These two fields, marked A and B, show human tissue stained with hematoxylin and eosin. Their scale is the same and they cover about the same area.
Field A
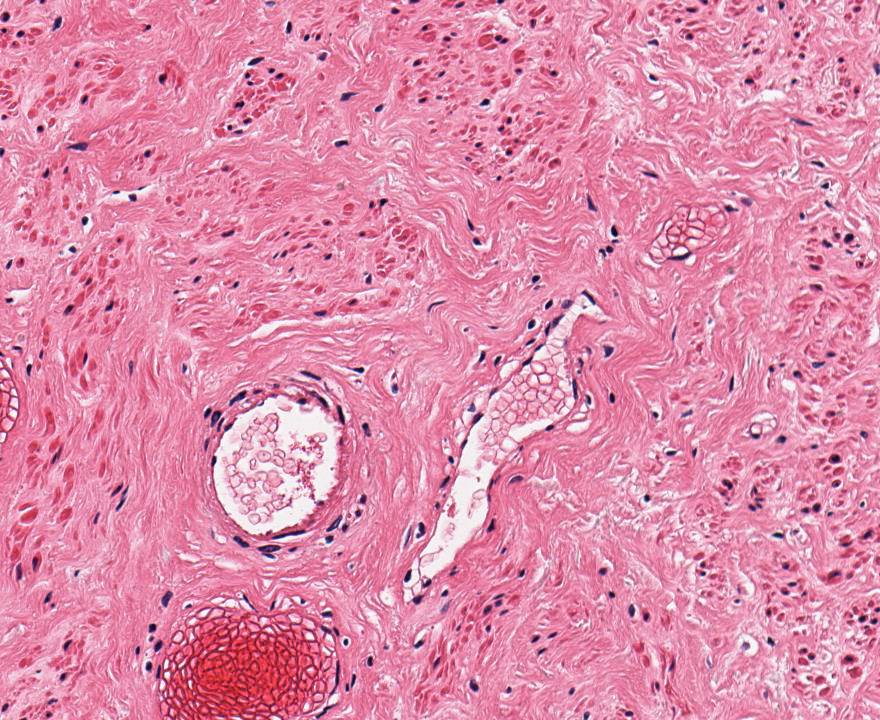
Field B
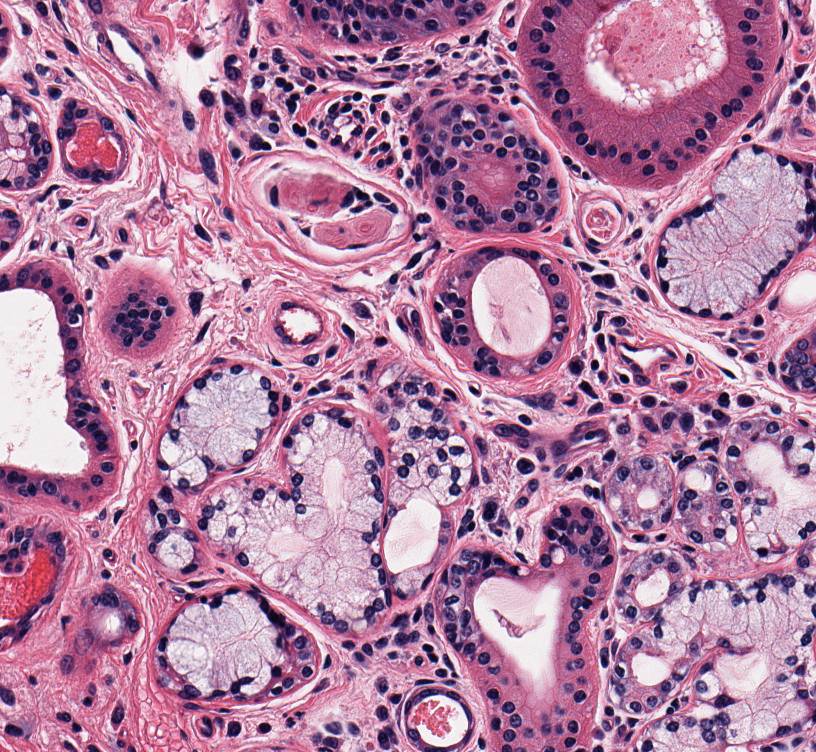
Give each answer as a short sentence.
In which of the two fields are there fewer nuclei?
Fewer nuclei lie in field A than in field B.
